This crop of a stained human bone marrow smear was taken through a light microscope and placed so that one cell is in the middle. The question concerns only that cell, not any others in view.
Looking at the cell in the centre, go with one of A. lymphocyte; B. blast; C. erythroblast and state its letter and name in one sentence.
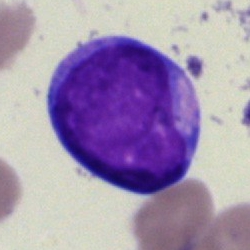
Option B is correct; the cell in the middle is a blast.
